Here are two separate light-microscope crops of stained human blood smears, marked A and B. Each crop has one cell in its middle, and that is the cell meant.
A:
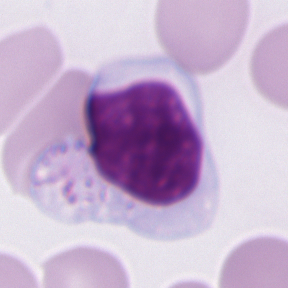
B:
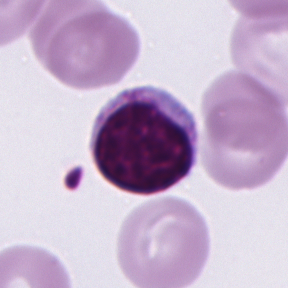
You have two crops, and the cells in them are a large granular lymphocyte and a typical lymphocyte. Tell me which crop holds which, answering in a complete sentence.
Crop A holds a large granular lymphocyte; a typical lymphocyte occupies crop B.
